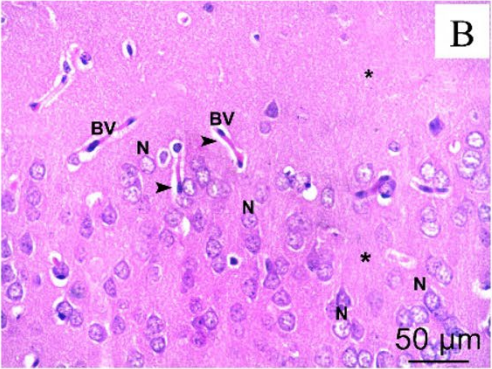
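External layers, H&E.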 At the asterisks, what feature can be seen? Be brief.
Neuropil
